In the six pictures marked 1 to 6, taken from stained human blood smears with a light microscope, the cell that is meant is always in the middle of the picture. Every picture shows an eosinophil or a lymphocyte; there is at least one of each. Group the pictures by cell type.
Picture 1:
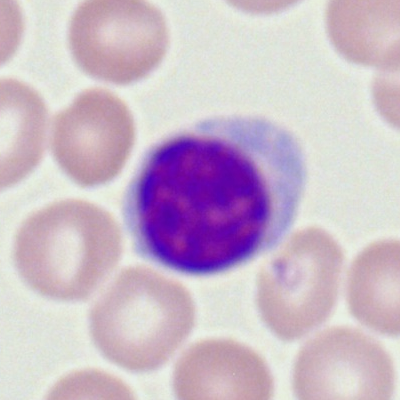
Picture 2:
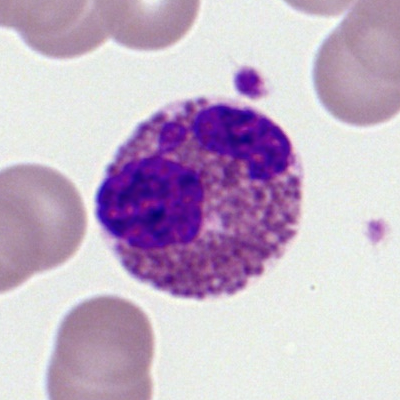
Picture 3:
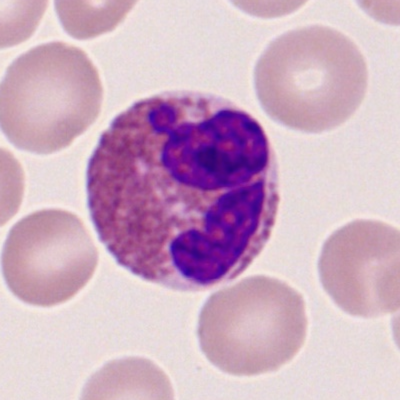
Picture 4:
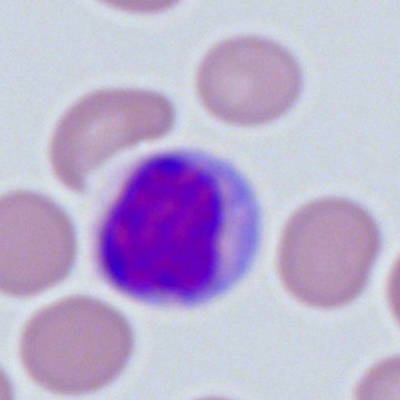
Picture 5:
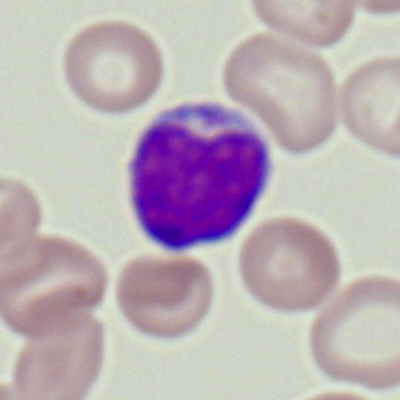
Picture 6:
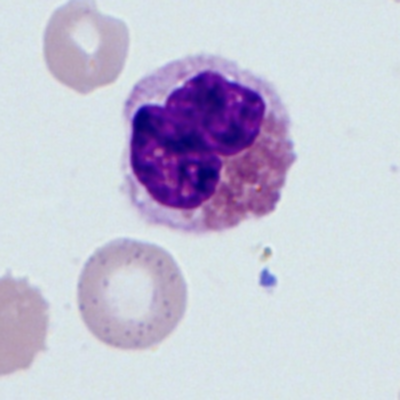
1: lymphocyte
2: eosinophil
3: eosinophil
4: lymphocyte
5: lymphocyte
6: eosinophil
